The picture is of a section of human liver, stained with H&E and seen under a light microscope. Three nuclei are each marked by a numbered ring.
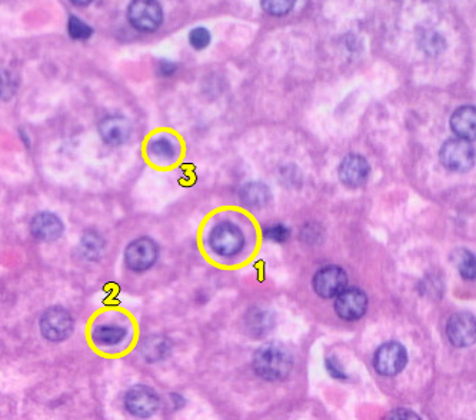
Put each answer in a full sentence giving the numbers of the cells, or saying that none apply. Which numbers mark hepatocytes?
Cell 1 is the only numbered cell that is a hepatocyte.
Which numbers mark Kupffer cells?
Only the cell numbered 2 is a Kupffer cell; none of the others is.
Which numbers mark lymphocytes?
None among the numbered cells are lymphocytes.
